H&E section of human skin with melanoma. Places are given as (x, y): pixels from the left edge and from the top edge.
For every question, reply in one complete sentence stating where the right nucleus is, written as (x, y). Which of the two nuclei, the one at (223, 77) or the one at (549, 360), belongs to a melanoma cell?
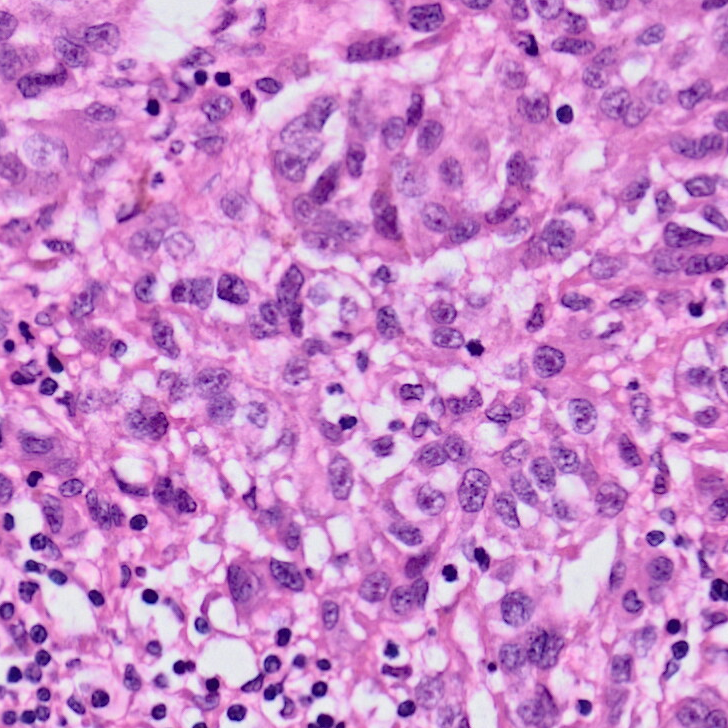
Of the two, the nucleus at (549, 360) is the one contained in a melanoma cell.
